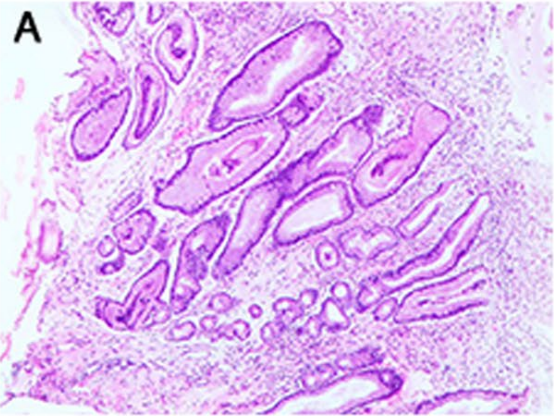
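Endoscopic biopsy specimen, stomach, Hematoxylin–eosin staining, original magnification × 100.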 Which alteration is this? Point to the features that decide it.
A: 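Gland expansion. Many glands are enlarged, elongated and irregular, some with wide lumens. Glands are lined by tall pale mucinous epithelium.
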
